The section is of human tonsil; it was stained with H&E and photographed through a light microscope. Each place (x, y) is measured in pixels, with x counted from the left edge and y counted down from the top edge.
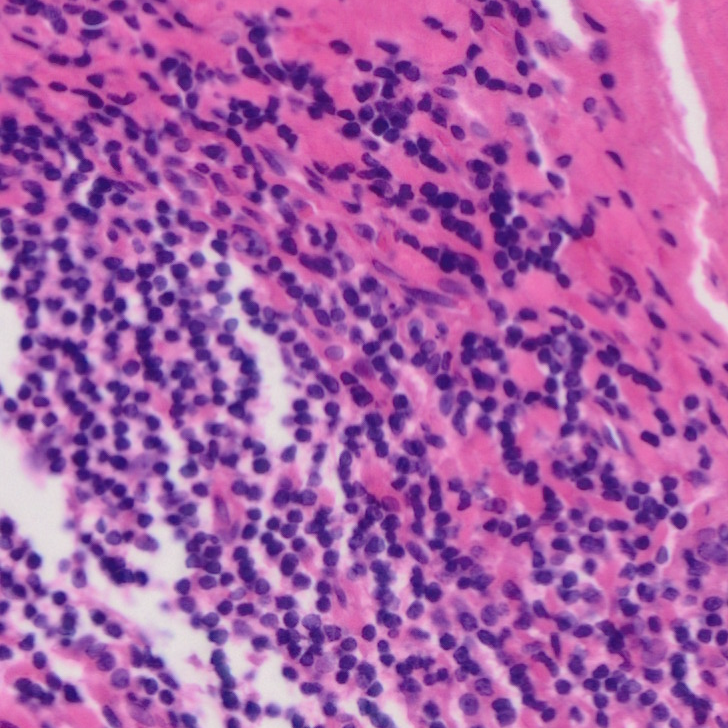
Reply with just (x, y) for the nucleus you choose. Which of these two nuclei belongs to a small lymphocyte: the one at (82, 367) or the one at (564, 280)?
(82, 367)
